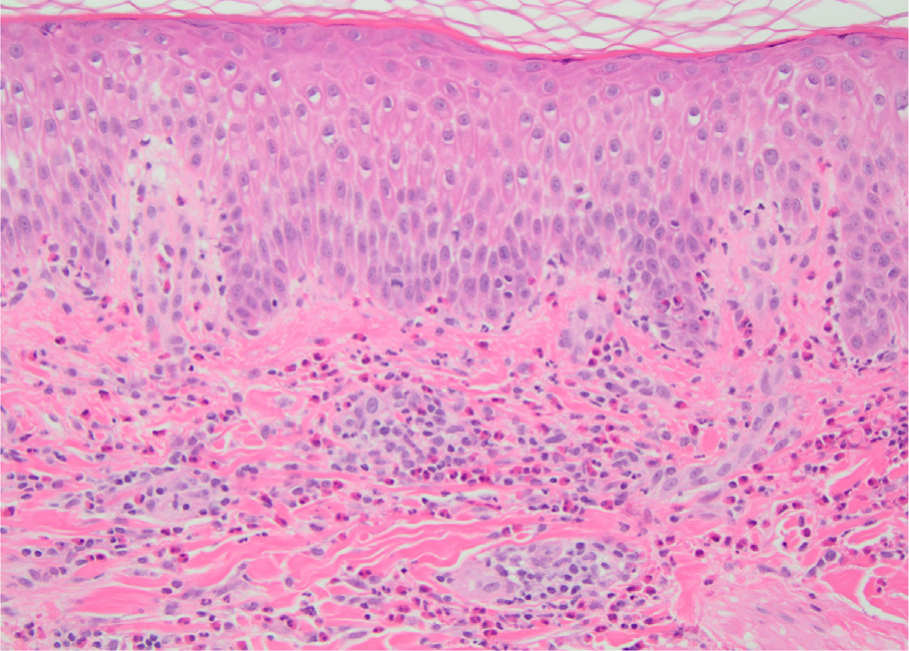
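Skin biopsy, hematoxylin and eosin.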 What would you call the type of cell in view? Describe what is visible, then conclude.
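Eosinophils. Many cells in the upper dermis have bright orange-red cytoplasm. These bright red cells have small, dark, lobed nuclei. The bright red cells are scattered among collagen bundles and gathered along the lower border of the epidermis.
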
